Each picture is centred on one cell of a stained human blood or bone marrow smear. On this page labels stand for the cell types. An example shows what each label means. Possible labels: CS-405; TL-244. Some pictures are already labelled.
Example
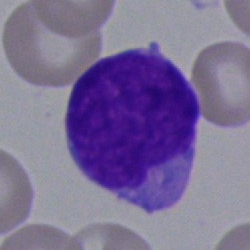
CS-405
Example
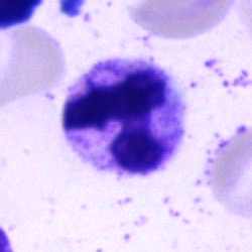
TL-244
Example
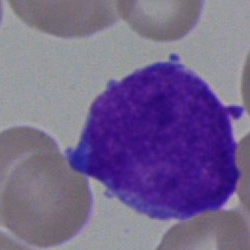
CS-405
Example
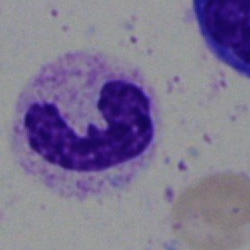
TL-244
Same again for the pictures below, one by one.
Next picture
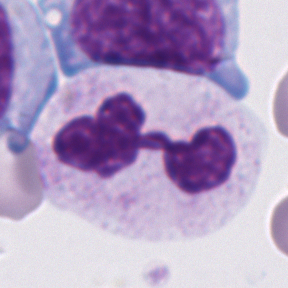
TL-244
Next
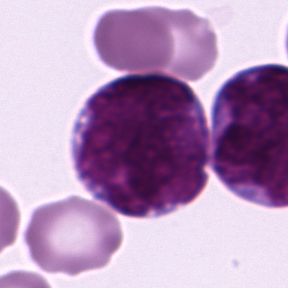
CS-405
